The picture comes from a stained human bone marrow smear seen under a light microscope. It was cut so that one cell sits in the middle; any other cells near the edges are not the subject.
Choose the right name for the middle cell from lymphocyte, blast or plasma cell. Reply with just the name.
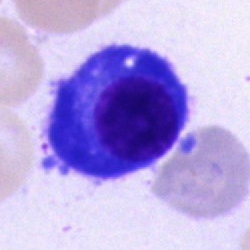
plasma cell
